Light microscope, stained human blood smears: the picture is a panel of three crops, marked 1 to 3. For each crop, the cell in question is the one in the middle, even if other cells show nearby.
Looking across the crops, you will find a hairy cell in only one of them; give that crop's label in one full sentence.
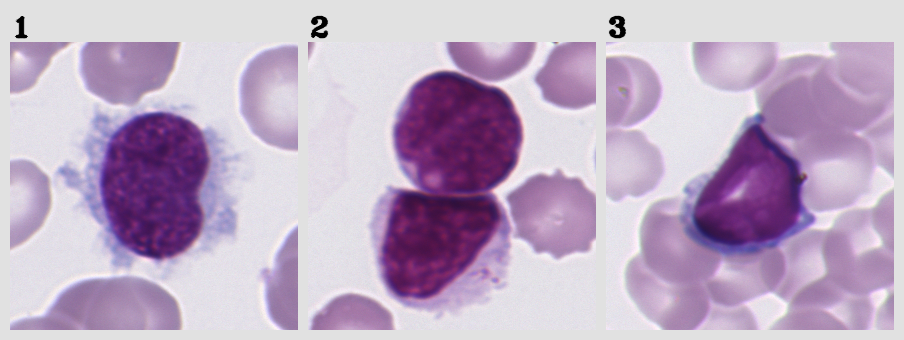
Crop 1 is the one that shows a hairy cell.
